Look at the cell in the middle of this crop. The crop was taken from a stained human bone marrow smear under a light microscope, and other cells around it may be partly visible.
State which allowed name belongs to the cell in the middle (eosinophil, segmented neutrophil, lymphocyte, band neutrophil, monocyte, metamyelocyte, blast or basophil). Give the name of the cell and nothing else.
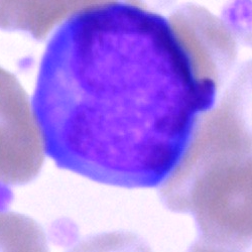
blast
